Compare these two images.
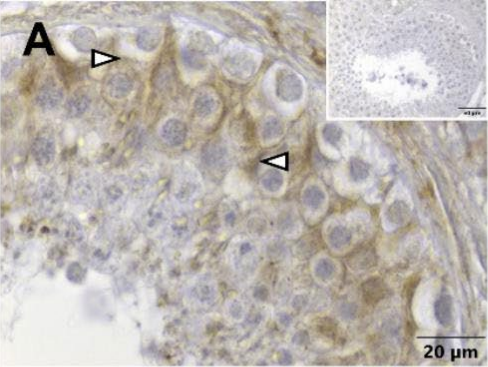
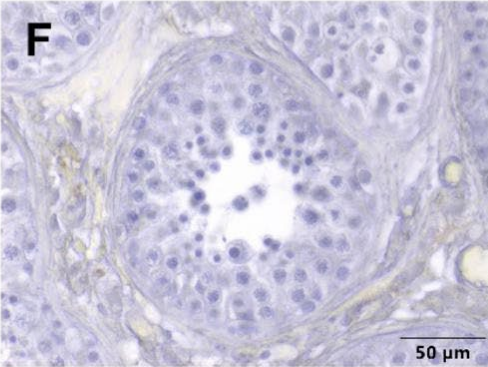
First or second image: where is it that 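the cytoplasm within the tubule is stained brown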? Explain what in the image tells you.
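Second image: the tubule shows only blue nuclei with no brown. First image: brown stain fills cytoplasm between germ cells, strongest toward the base.
The first image.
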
